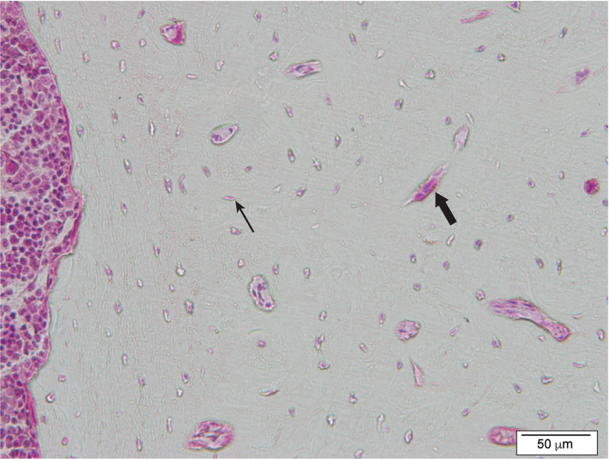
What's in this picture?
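This is cortical bone at high power, with pale grey-green matrix holding many small osteocytes in lacunae, some round and some elongated. Several larger canals with pink-magenta contents are scattered through the cortex. Densely packed cells with purple nuclei border the bone along the left edge.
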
